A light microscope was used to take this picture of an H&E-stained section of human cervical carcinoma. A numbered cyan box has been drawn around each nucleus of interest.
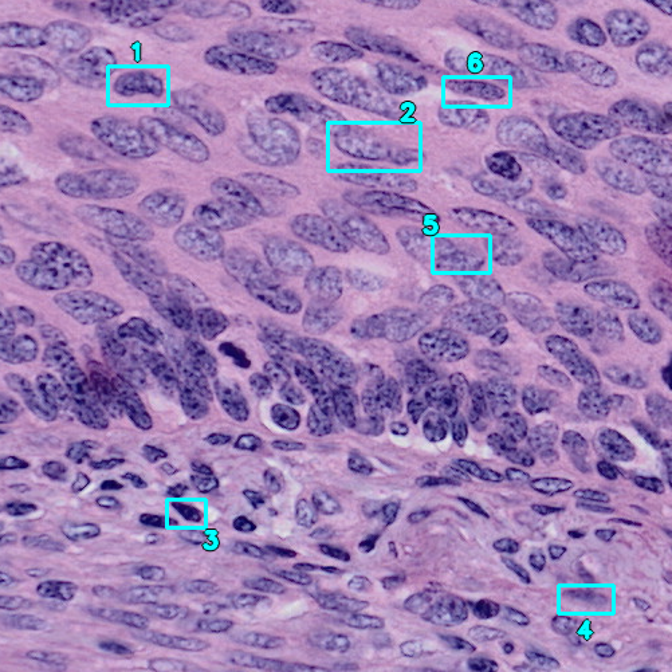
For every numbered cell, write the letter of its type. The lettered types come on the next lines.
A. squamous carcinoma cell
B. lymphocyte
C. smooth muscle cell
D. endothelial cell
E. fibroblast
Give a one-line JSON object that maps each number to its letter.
{"1": "A", "2": "A", "3": "B", "4": "C", "5": "A", "6": "A"}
